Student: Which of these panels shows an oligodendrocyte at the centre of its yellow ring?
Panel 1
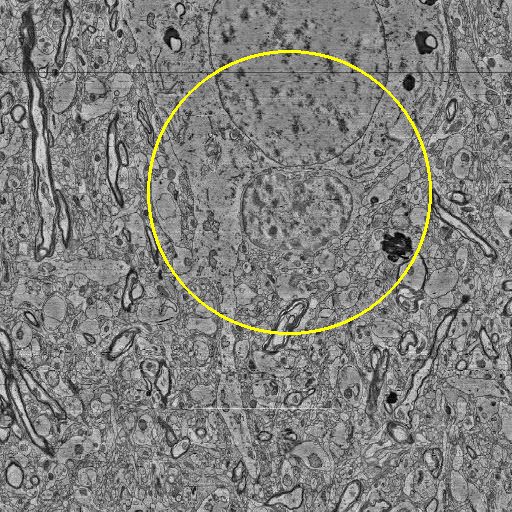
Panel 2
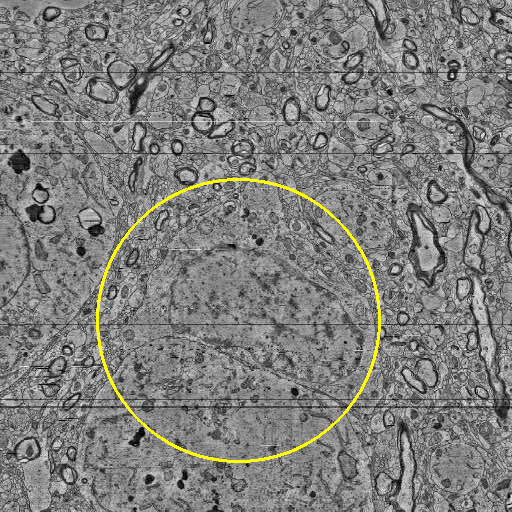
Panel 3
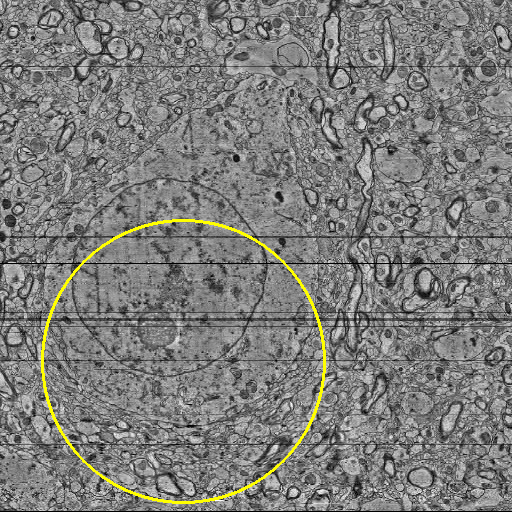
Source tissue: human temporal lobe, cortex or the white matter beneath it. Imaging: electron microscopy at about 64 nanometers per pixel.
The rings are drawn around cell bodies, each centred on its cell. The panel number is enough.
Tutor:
1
